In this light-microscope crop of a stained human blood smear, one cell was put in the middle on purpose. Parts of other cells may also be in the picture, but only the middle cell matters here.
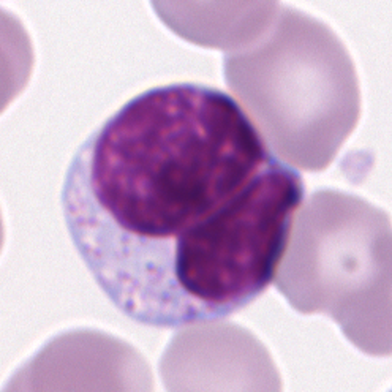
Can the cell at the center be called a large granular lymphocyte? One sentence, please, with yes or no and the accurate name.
Yes, the cell that lies centrally is a large granular lymphocyte.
